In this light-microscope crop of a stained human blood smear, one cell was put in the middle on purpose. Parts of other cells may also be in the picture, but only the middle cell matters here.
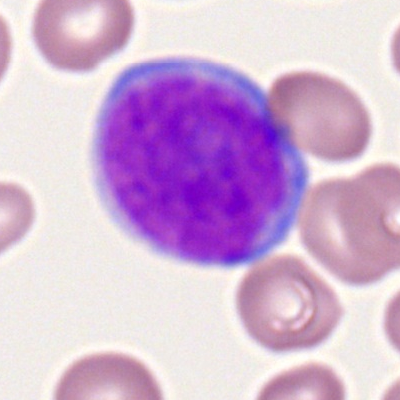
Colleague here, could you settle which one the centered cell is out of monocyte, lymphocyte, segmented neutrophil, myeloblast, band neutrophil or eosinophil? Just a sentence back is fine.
The crop centres on a single cell, and that cell is a myeloblast.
